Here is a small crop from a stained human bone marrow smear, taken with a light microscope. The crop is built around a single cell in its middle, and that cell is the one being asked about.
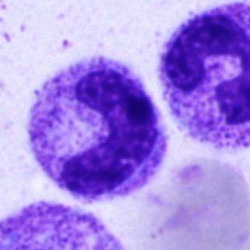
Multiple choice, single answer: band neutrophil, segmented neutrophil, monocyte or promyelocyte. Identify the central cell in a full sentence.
Centrally within this crop lies a band neutrophil.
